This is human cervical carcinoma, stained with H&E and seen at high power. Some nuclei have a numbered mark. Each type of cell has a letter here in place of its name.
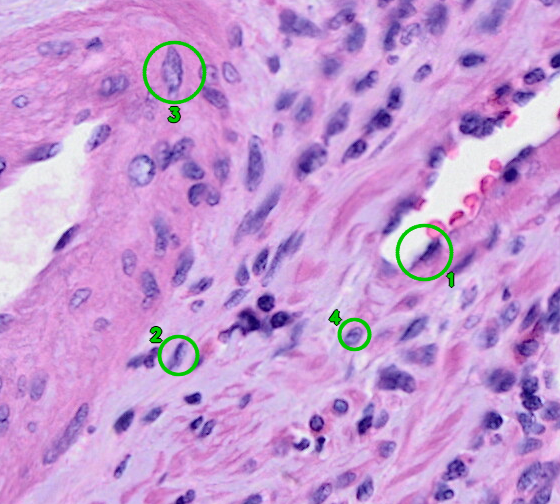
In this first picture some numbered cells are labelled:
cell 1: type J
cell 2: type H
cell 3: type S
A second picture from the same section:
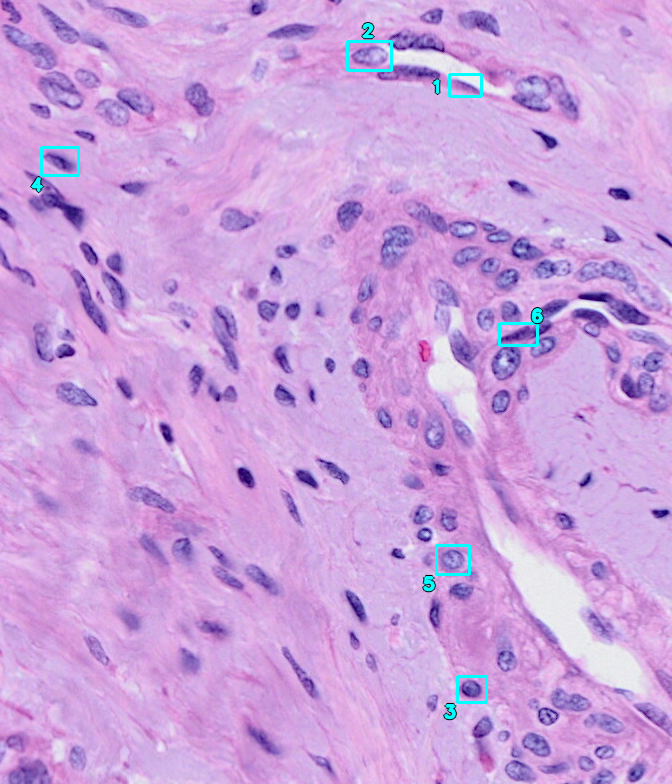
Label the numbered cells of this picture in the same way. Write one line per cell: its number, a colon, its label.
1: type J
2: type J
3: type S
4: type H
5: type S
6: type J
